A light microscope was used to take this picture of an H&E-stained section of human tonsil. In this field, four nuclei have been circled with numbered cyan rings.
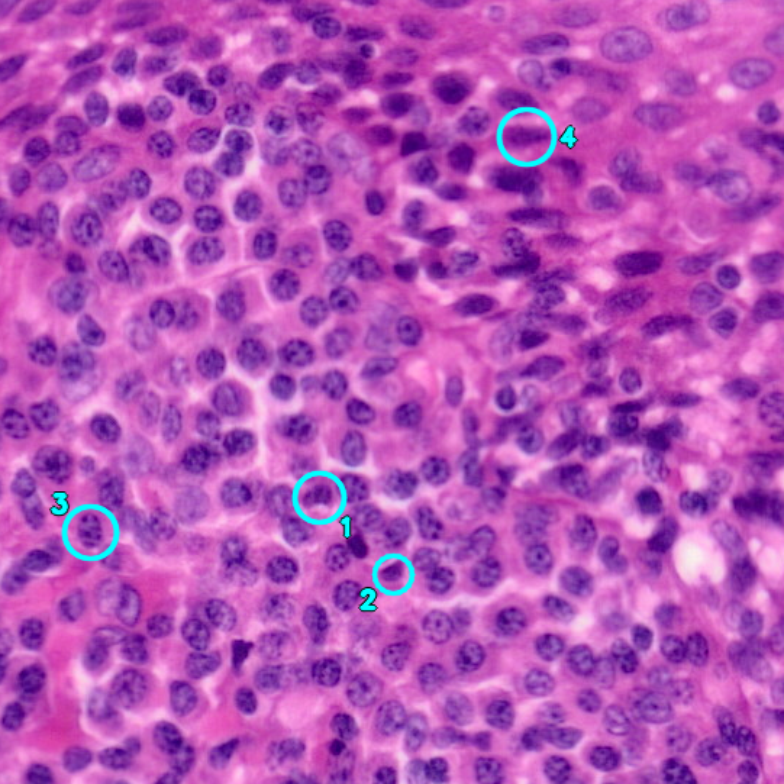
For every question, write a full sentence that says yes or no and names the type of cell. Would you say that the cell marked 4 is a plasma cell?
No, cell 4 is not to be taken for a plasma cell; it is a squamous epithelial cell.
